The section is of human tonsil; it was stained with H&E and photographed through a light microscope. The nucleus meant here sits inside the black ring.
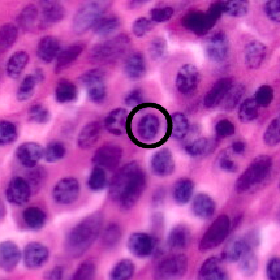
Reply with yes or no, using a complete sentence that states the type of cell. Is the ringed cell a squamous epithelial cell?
No, a squamous epithelial cell is not what the ringed cell is; it is a plasma cell.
